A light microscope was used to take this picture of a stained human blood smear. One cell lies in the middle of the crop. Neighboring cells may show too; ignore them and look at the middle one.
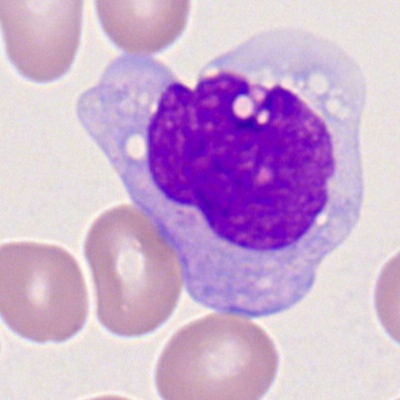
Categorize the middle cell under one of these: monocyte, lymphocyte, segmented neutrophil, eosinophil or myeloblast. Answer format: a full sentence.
Among the cells in view, the one in the middle is a monocyte.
